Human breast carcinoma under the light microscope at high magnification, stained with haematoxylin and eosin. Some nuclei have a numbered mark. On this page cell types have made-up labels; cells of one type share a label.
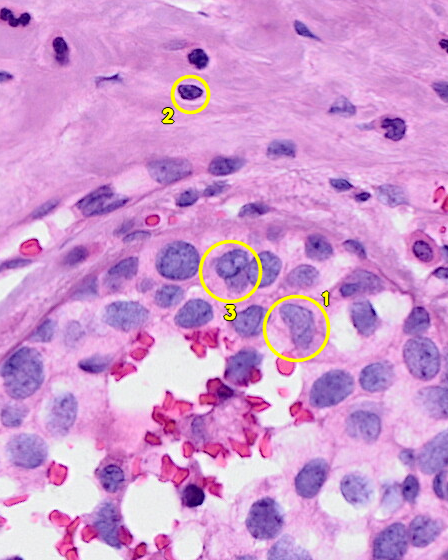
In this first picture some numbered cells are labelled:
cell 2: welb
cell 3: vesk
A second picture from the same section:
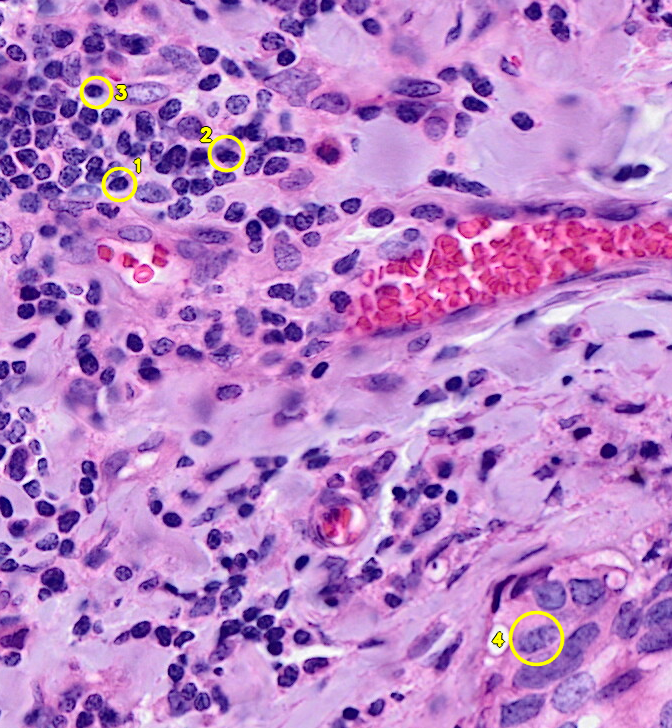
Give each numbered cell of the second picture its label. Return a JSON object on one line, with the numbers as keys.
{"1": "welb", "2": "welb", "3": "welb", "4": "vesk"}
